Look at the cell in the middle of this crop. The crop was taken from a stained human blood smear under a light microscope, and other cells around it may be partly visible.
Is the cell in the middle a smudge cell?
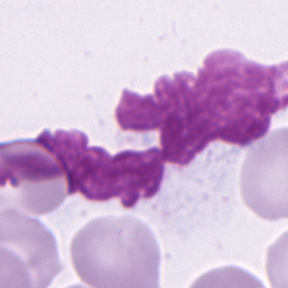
yes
